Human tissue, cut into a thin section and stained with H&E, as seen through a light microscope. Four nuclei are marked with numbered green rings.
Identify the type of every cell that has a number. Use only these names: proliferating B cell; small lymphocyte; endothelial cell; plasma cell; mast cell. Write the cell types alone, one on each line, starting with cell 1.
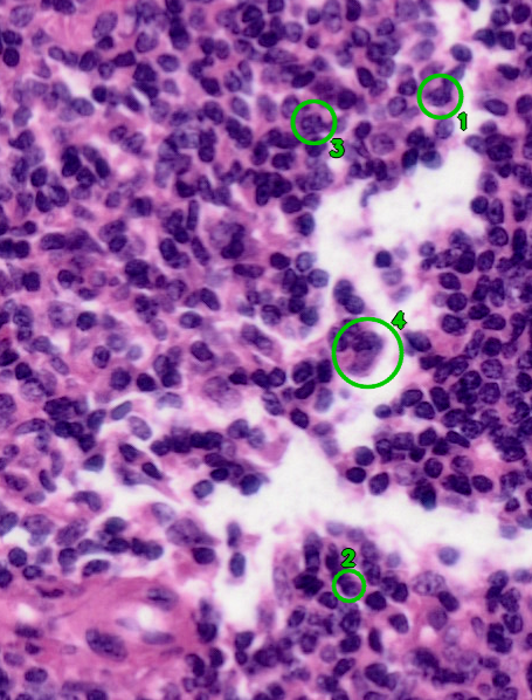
small lymphocyte
small lymphocyte
small lymphocyte
proliferating B cell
